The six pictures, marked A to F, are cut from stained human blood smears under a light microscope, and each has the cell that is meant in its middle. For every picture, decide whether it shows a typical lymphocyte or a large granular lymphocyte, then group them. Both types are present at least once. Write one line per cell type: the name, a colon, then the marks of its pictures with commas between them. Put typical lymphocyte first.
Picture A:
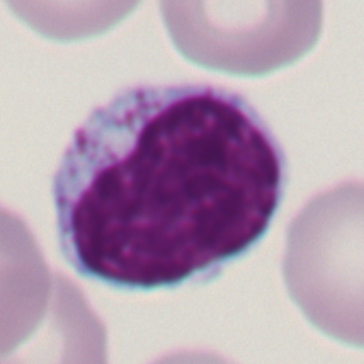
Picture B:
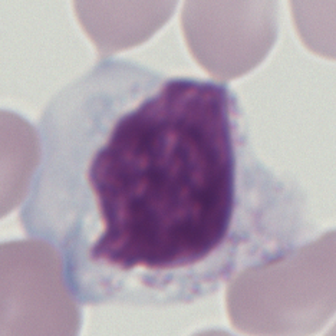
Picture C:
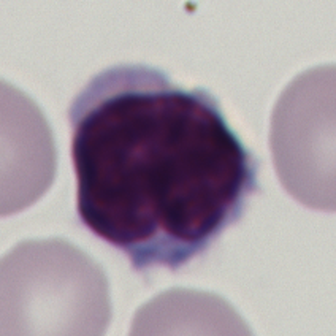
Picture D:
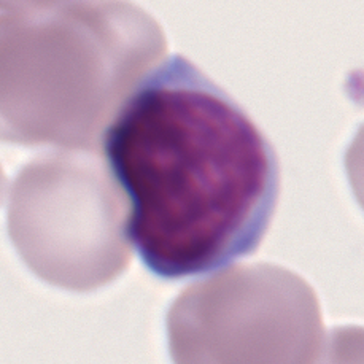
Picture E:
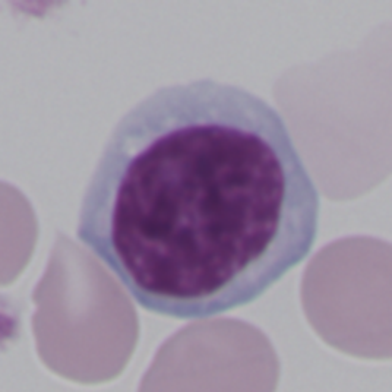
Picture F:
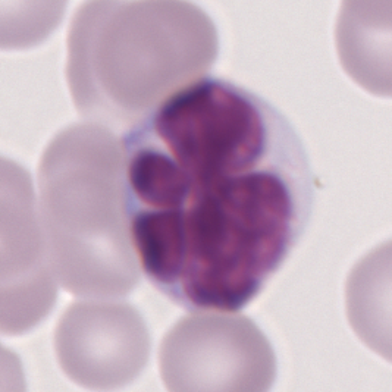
typical lymphocyte: C, D, E
large granular lymphocyte: A, B, F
